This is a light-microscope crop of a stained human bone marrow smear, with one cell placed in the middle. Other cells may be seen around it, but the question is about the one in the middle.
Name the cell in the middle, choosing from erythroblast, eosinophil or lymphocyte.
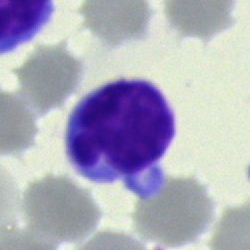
lymphocyte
